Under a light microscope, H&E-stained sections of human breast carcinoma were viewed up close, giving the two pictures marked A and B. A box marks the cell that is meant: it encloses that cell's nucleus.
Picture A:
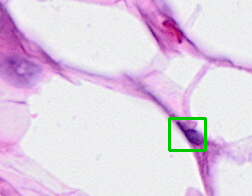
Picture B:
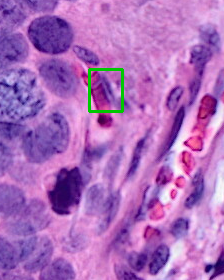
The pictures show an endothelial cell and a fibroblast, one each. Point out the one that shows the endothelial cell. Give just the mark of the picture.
B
